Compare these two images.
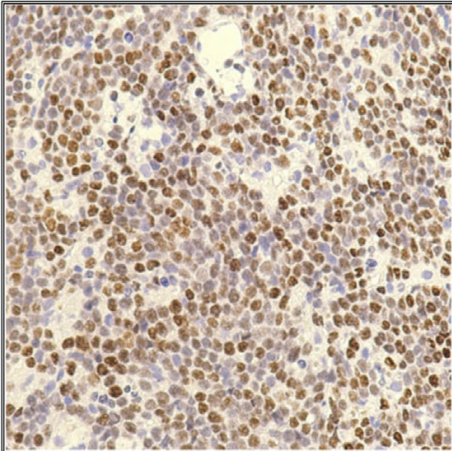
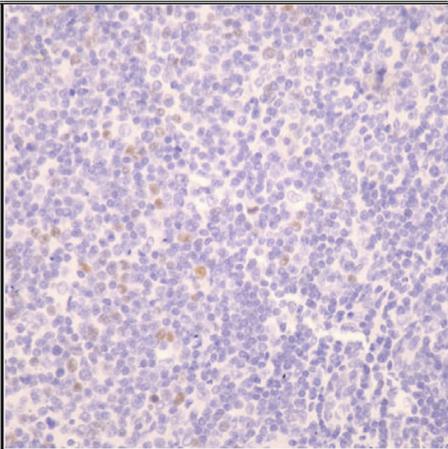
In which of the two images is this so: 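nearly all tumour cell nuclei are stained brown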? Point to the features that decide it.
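The first image. Second image: nuclei are almost all blue, with only a few faintly brown.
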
